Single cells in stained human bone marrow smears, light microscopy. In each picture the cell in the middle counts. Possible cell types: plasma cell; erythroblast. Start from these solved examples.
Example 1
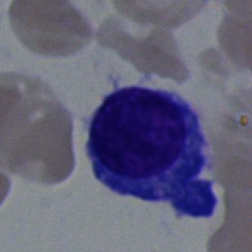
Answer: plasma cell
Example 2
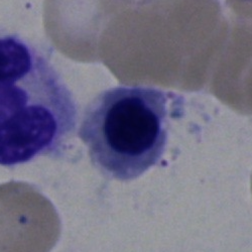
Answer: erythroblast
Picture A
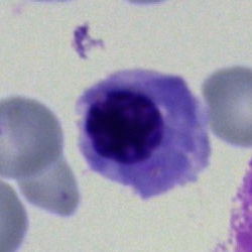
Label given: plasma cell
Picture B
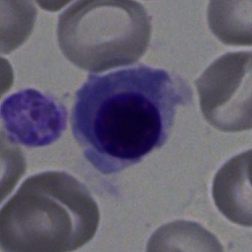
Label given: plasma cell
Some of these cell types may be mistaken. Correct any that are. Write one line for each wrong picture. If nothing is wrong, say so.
A should be erythroblast, not plasma cell
B should be erythroblast, not plasma cell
